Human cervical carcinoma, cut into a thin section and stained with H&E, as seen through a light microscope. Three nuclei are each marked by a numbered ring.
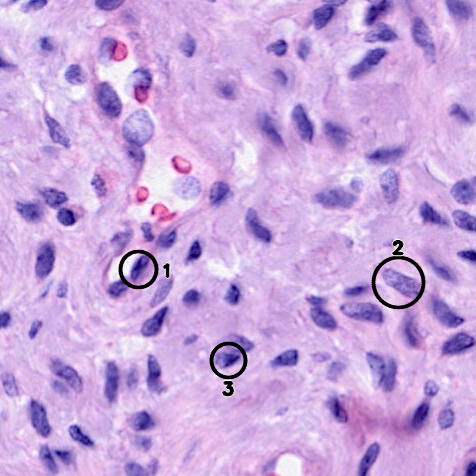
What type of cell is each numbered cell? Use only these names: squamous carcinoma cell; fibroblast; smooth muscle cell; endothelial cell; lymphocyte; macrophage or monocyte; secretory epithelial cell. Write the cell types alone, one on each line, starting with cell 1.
endothelial cell
fibroblast
fibroblast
